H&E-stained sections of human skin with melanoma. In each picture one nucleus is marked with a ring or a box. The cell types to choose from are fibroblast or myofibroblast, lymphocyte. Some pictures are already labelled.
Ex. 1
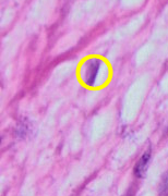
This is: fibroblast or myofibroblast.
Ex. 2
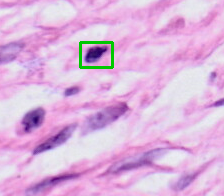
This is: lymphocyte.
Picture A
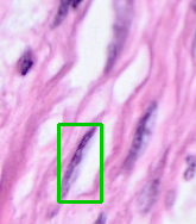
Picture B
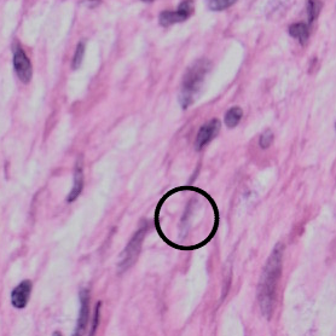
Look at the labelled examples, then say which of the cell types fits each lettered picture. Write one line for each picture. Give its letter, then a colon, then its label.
A: fibroblast or myofibroblast.
B: fibroblast or myofibroblast.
